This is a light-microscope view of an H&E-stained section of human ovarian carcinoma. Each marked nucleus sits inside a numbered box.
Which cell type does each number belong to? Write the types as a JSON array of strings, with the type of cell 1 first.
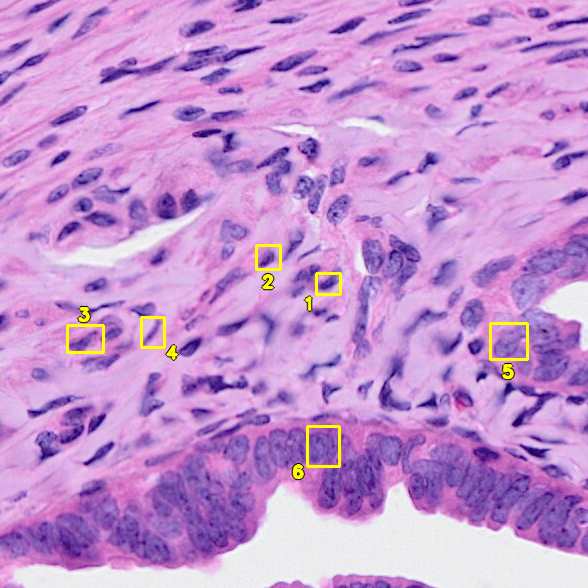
["smooth muscle cell", "smooth muscle cell", "smooth muscle cell", "smooth muscle cell", "carcinoma cell", "carcinoma cell"]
